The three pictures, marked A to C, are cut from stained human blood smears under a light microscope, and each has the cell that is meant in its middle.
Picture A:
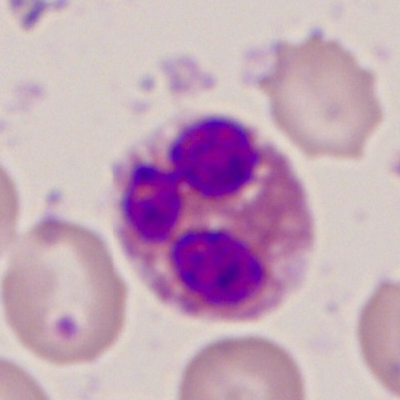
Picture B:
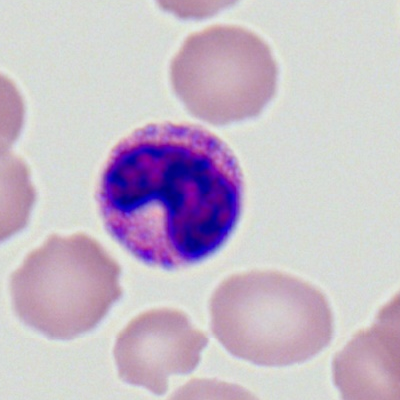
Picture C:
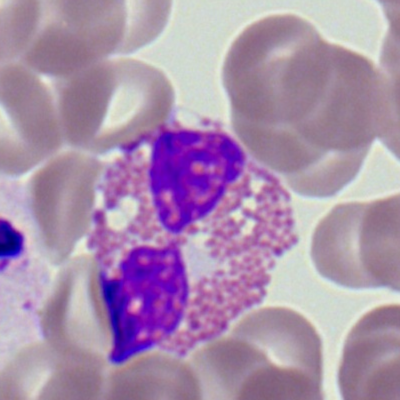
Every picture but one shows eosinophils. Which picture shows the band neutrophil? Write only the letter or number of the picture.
B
